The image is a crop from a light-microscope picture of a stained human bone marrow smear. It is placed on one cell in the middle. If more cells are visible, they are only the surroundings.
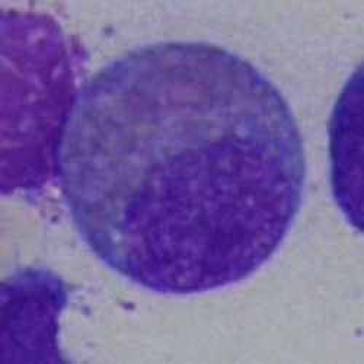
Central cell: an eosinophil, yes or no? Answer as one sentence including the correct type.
Yes, the cell that lies centrally is an eosinophil.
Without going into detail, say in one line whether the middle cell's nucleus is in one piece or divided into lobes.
The cell carries one compact nucleus shaped round, oval or like a kidney.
